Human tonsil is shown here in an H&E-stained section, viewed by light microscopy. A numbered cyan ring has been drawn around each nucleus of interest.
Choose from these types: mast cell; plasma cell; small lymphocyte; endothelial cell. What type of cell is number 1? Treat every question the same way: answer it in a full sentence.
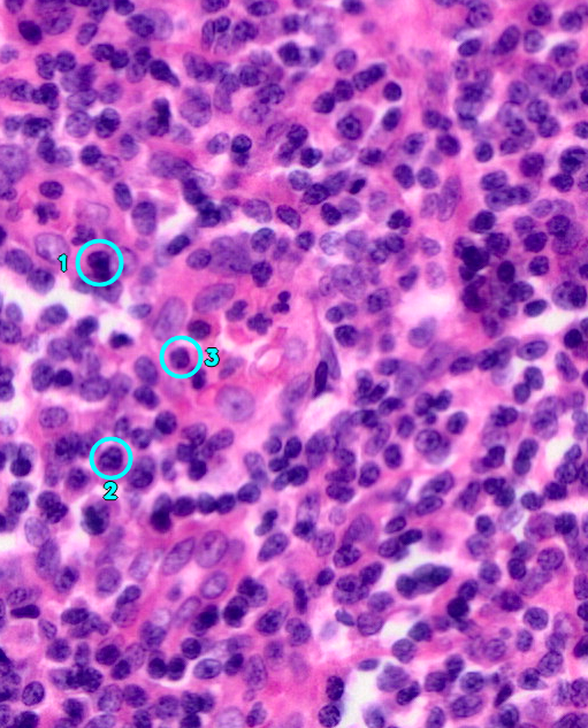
Cell 1, among those numbered, is an endothelial cell.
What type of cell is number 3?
Of the numbered cells, the one labelled 3 is an endothelial cell.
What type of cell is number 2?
The cell carrying label 2 is identified as a plasma cell.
